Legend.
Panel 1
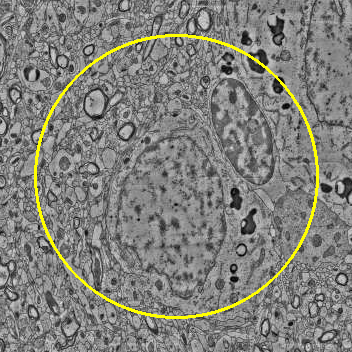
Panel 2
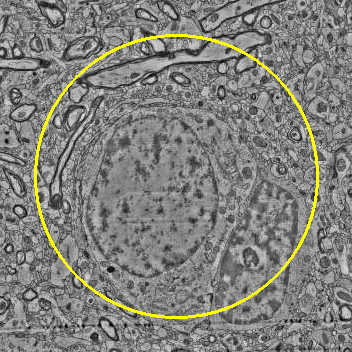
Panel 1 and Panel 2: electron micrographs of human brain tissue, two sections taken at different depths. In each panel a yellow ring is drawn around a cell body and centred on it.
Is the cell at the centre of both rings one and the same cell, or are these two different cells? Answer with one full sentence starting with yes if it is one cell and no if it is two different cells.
No, the circled cells number two, not one.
